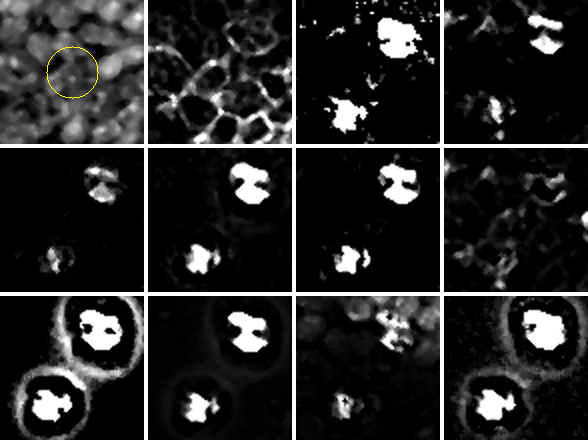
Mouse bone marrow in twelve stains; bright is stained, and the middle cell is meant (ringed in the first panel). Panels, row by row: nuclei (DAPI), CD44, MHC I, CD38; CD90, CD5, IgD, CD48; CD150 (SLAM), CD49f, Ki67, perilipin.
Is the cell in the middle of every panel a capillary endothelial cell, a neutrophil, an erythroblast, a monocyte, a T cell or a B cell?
It is a monocyte.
